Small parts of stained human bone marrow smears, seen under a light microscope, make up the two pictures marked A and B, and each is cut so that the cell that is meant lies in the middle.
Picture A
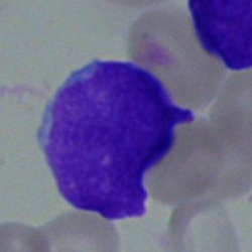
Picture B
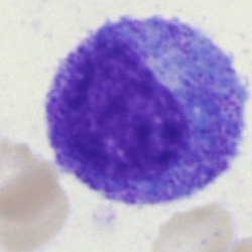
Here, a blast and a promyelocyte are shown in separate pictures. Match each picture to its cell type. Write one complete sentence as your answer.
It is picture A that shows a blast, and picture B that shows a promyelocyte.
